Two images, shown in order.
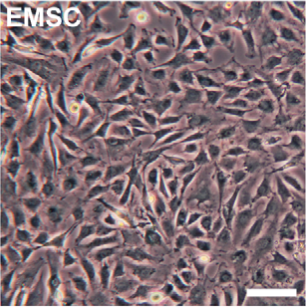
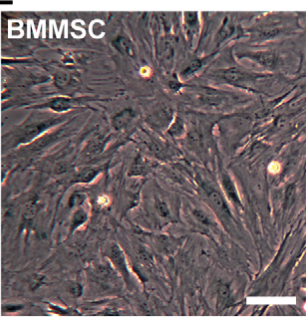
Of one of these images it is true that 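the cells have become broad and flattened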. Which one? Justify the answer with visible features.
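Second image: many cells are large, broad and thinly spread. First image: cells are smaller, compact, polygonal to spindle-shaped and densely packed.
Answer: the second image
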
